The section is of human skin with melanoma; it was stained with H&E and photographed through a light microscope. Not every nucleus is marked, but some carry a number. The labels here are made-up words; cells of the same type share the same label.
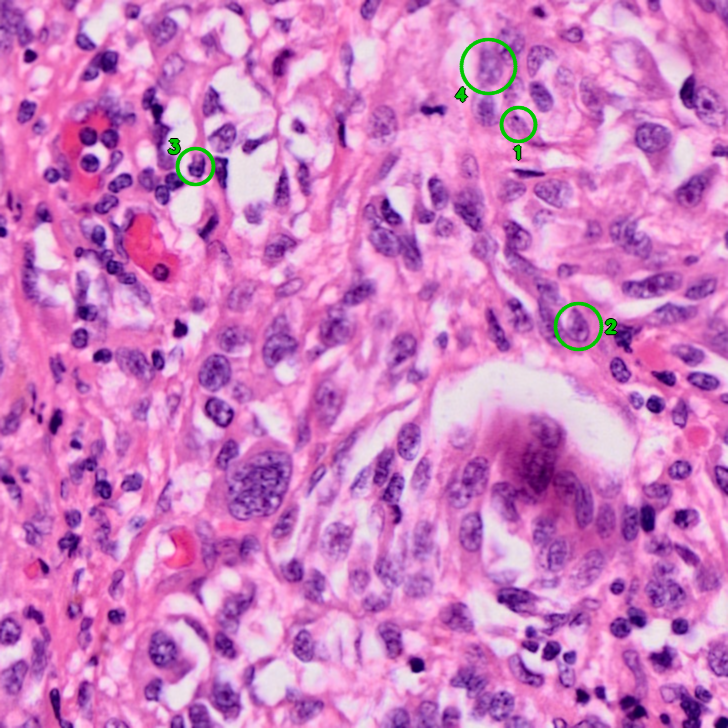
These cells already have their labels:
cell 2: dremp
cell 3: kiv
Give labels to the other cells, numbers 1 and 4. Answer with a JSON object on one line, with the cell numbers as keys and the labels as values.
{"1": "dremp", "4": "dremp"}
